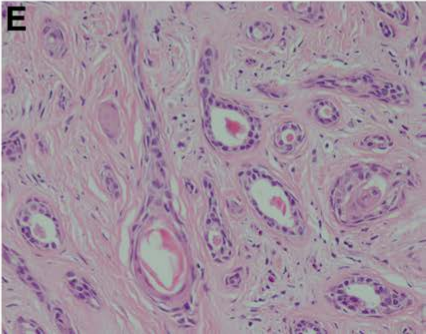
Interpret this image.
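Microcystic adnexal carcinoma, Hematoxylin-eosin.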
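The ducts are lined by one to two layers of cuboidal cells with round purple nuclei and pink cytoplasm, and several lumina hold bright pink material. Some nests are solid and a few contain layered pink keratin-like material. The surrounding stroma is made of thick collagen bundles with sparse spindle nuclei. This is tumor embedded in a fibrosclerotic stroma.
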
